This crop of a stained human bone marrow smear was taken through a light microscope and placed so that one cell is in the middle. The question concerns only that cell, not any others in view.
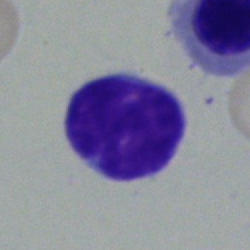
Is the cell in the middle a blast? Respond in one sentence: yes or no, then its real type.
No, it isn't a blast; what sits in the middle is a lymphocyte.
